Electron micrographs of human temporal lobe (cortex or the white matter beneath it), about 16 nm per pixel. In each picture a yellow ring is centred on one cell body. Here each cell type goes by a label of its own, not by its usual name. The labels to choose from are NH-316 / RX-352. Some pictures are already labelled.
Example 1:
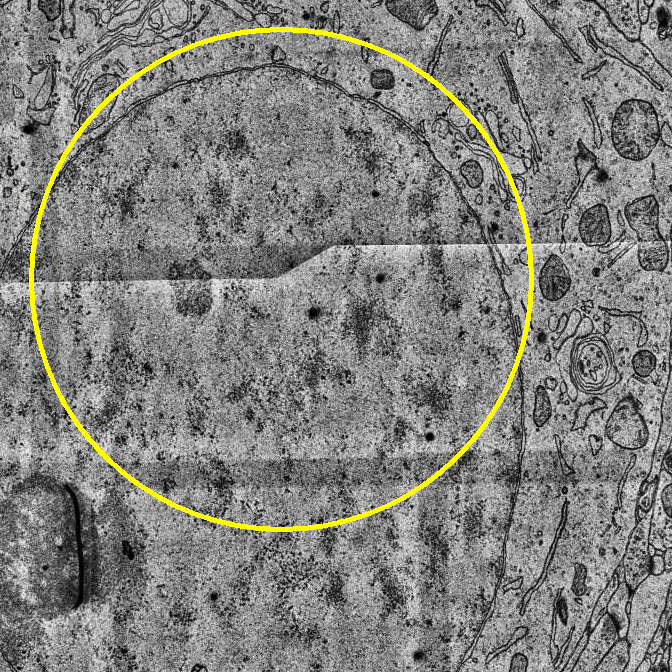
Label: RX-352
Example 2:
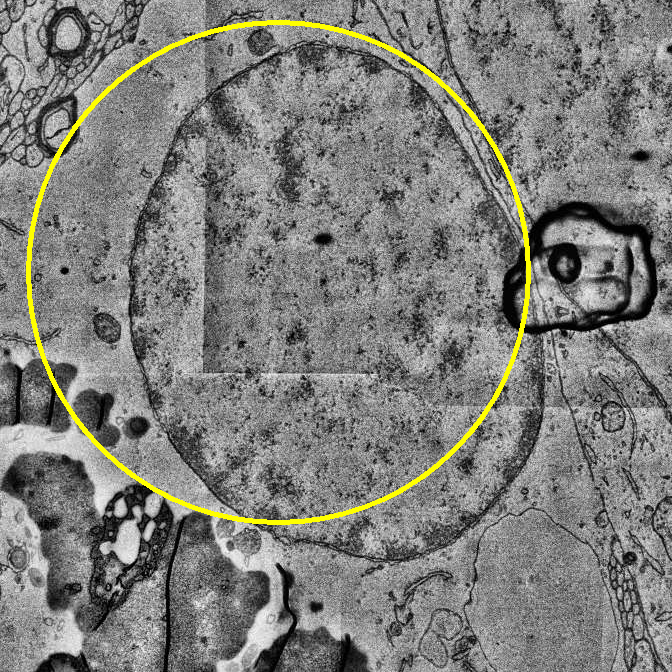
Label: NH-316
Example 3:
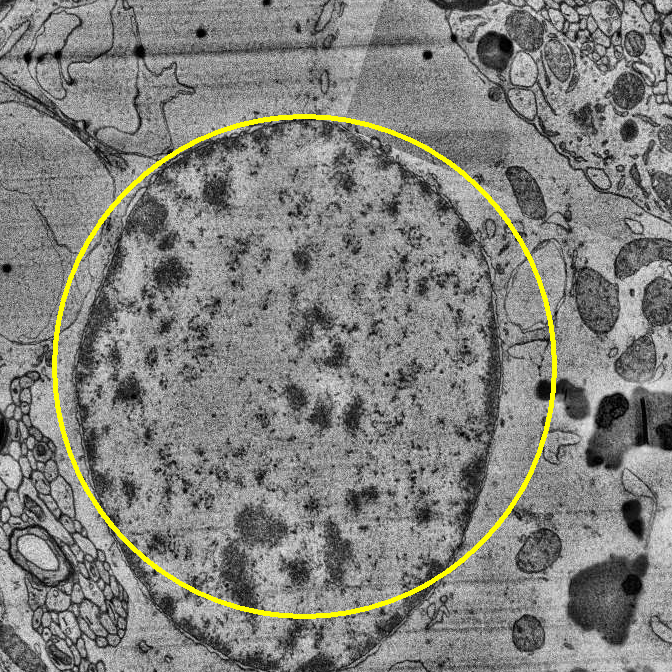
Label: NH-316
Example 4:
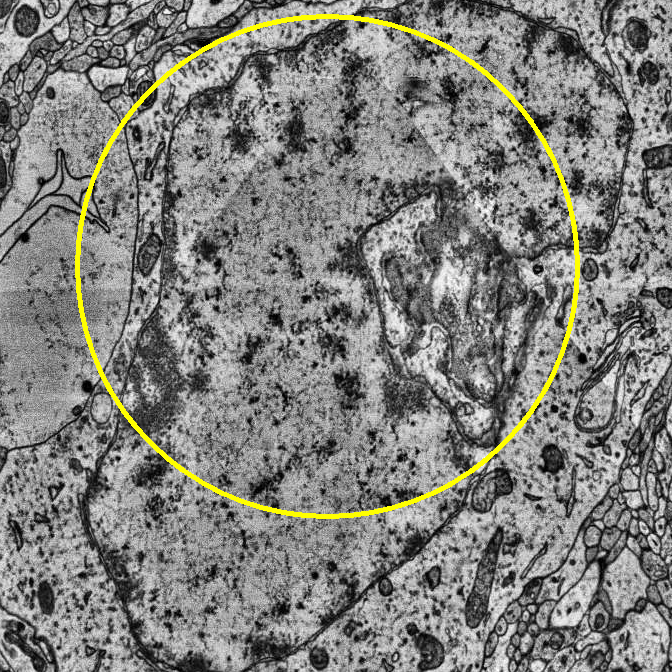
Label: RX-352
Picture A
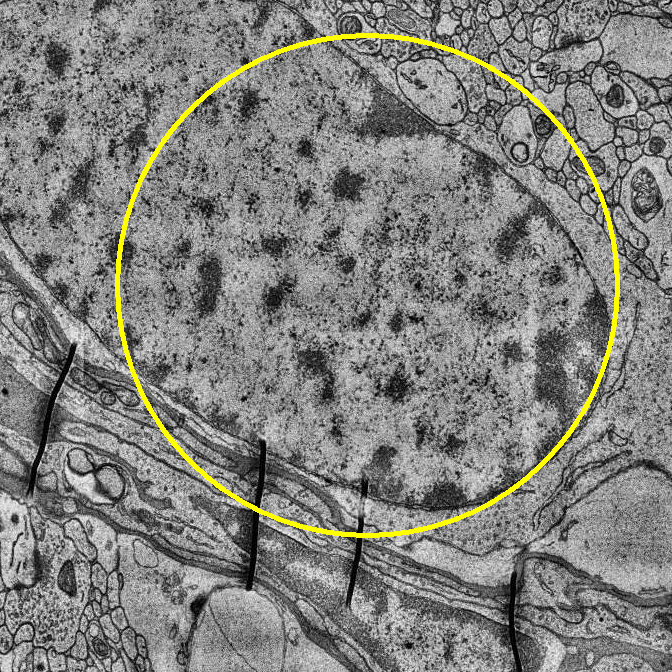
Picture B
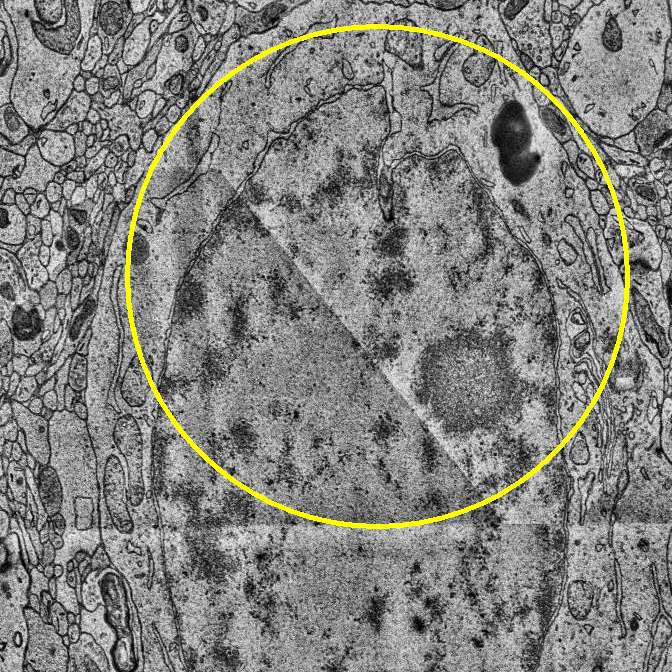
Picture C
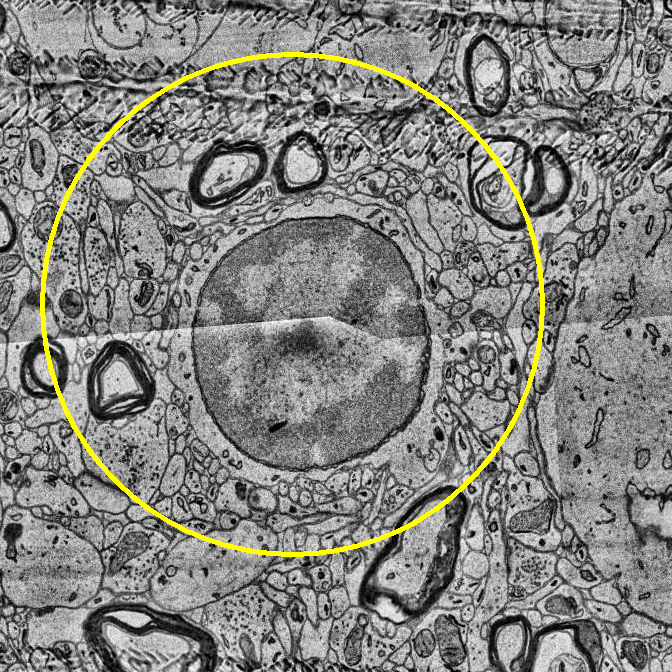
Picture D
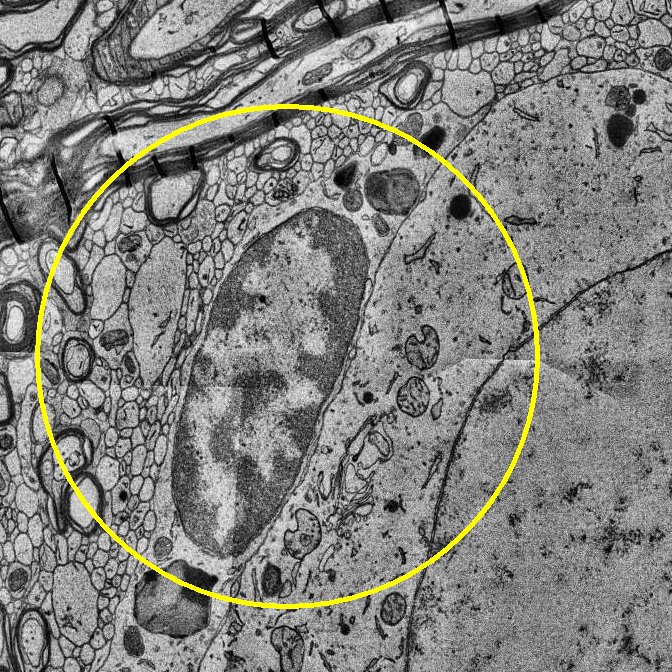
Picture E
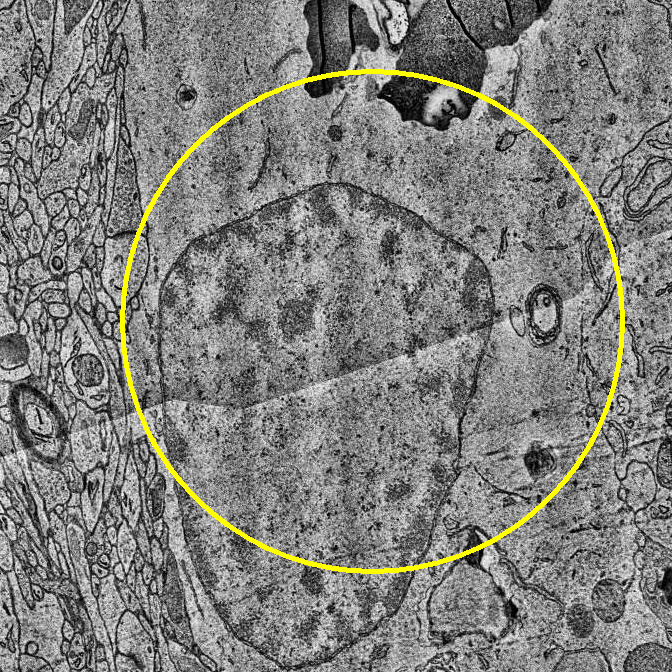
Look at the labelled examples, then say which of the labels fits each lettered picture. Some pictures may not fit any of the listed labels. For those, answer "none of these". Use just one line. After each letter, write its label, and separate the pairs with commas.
A none of these, B RX-352, C none of these, D none of these, E NH-316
